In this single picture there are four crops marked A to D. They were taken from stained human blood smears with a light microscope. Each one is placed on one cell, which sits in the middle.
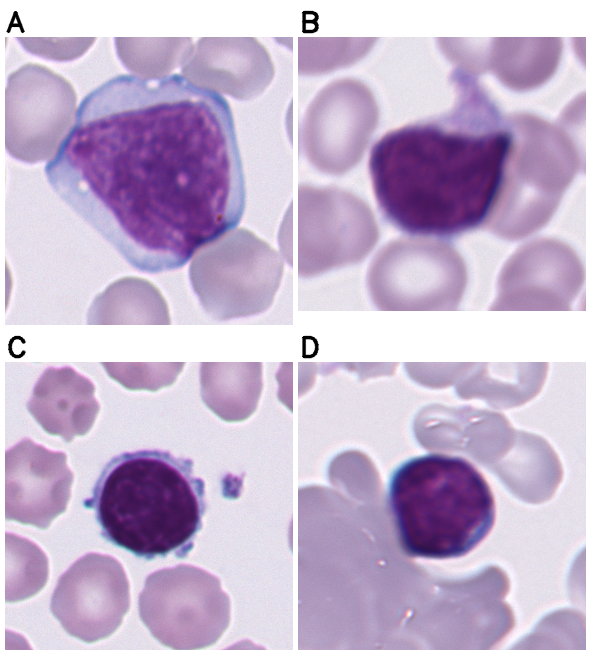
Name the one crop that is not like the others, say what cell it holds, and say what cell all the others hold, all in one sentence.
The exception is crop A, with a myeloblast; the remaining crops all show typical lymphocytes.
